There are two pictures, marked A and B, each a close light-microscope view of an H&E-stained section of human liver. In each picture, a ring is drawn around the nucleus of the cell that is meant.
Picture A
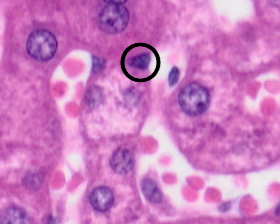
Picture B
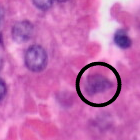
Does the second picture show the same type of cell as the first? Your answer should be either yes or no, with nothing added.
no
